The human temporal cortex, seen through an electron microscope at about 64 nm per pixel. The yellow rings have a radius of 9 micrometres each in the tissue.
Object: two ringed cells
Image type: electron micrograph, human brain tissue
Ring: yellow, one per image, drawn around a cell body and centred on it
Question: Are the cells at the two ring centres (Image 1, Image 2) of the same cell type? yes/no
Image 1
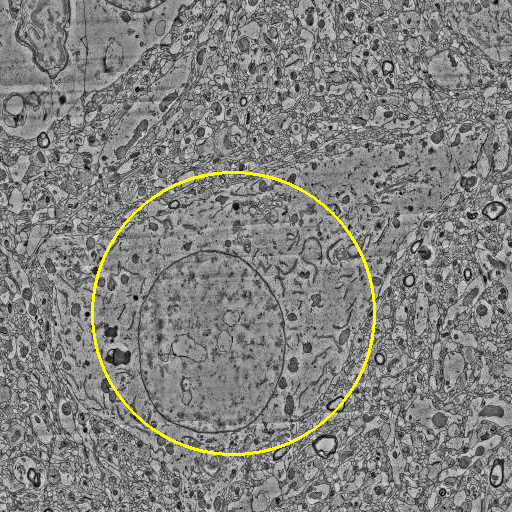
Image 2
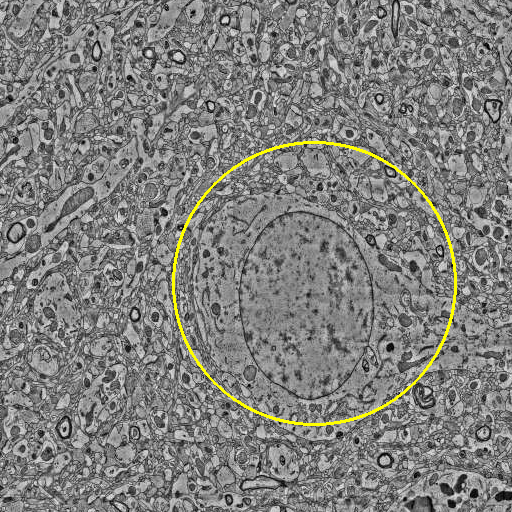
yes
